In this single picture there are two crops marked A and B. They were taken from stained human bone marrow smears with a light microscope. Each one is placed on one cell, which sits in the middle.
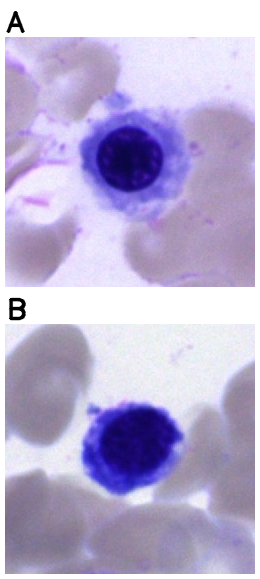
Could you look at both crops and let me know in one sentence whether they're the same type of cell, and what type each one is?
Yes, both crops show erythroblasts in their central position.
